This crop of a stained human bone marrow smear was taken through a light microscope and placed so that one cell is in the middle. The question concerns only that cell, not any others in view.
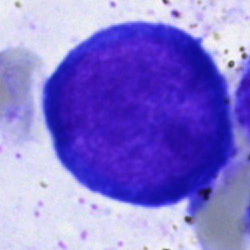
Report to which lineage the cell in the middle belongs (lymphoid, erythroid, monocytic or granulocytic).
erythroid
